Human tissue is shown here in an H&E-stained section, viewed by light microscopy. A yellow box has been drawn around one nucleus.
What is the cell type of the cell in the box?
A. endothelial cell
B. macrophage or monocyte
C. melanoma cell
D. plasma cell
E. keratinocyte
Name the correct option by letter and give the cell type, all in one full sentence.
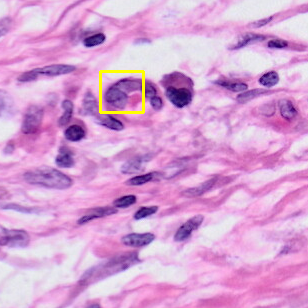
In short, option A: the cell in the box is an endothelial cell.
